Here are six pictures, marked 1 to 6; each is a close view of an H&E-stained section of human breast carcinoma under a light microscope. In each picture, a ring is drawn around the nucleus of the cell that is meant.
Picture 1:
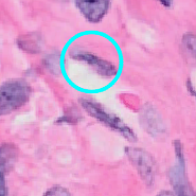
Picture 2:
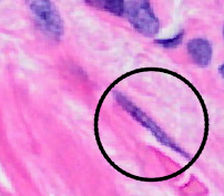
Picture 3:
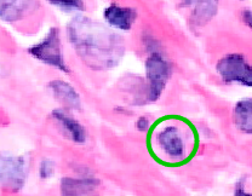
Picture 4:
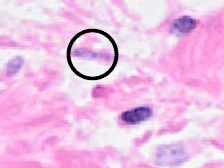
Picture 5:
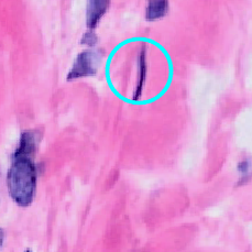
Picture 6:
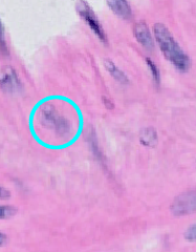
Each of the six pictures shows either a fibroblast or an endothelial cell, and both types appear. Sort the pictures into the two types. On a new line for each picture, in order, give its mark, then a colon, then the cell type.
1: endothelial cell
2: endothelial cell
3: endothelial cell
4: fibroblast
5: fibroblast
6: endothelial cell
